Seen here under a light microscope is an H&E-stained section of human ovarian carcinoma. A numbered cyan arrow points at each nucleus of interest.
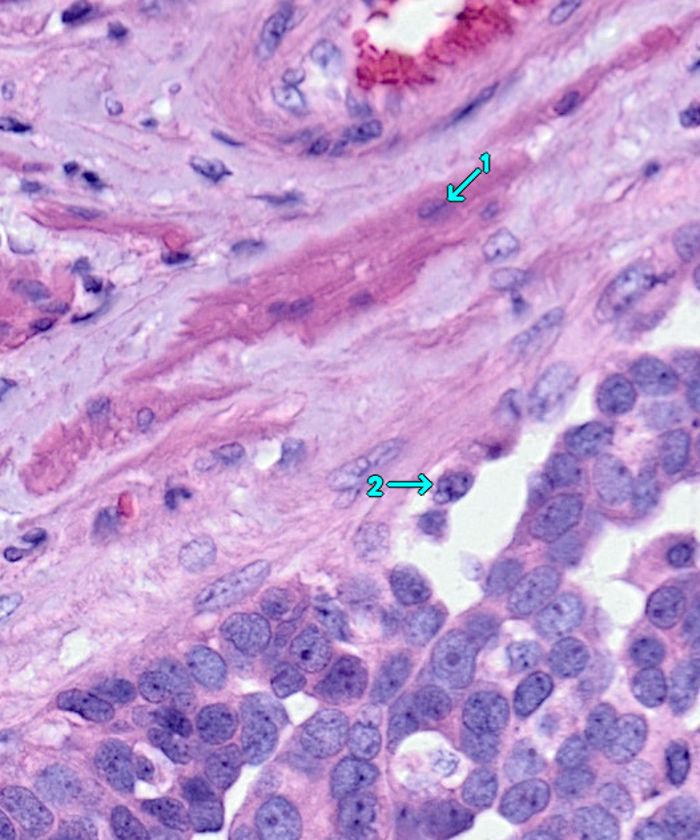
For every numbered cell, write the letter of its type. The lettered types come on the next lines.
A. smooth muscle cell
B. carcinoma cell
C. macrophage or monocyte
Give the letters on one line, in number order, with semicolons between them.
A; C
